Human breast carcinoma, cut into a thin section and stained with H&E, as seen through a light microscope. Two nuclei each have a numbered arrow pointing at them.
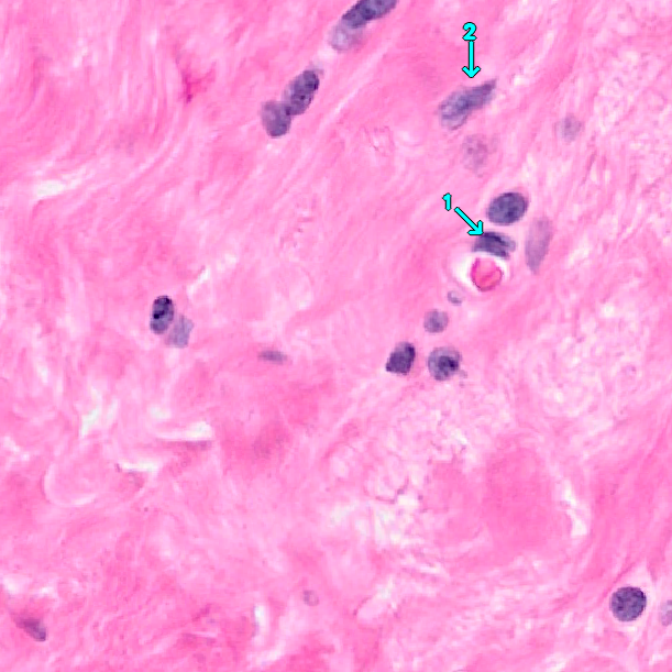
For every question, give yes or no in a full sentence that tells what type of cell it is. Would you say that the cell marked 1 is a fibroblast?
No, number 1 corresponds to an endothelial cell, not a fibroblast.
